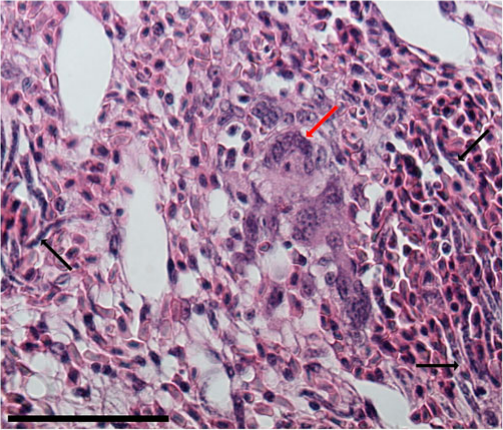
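Lung tissue at high magnification shows a large cell in the centre with several dark nuclei lying together in abundant pink cytoplasm, much larger than all cells around it. Around it are many small cells with oval dark nuclei, and to the right a crowded zone of oval nucleated red blood cells with slender threadlike larvae among them. Pale empty air spaces lie to the left and top. The large multinucleated cell is a Langhans type giant cell, and the slender threads are microfilariae within the lung.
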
